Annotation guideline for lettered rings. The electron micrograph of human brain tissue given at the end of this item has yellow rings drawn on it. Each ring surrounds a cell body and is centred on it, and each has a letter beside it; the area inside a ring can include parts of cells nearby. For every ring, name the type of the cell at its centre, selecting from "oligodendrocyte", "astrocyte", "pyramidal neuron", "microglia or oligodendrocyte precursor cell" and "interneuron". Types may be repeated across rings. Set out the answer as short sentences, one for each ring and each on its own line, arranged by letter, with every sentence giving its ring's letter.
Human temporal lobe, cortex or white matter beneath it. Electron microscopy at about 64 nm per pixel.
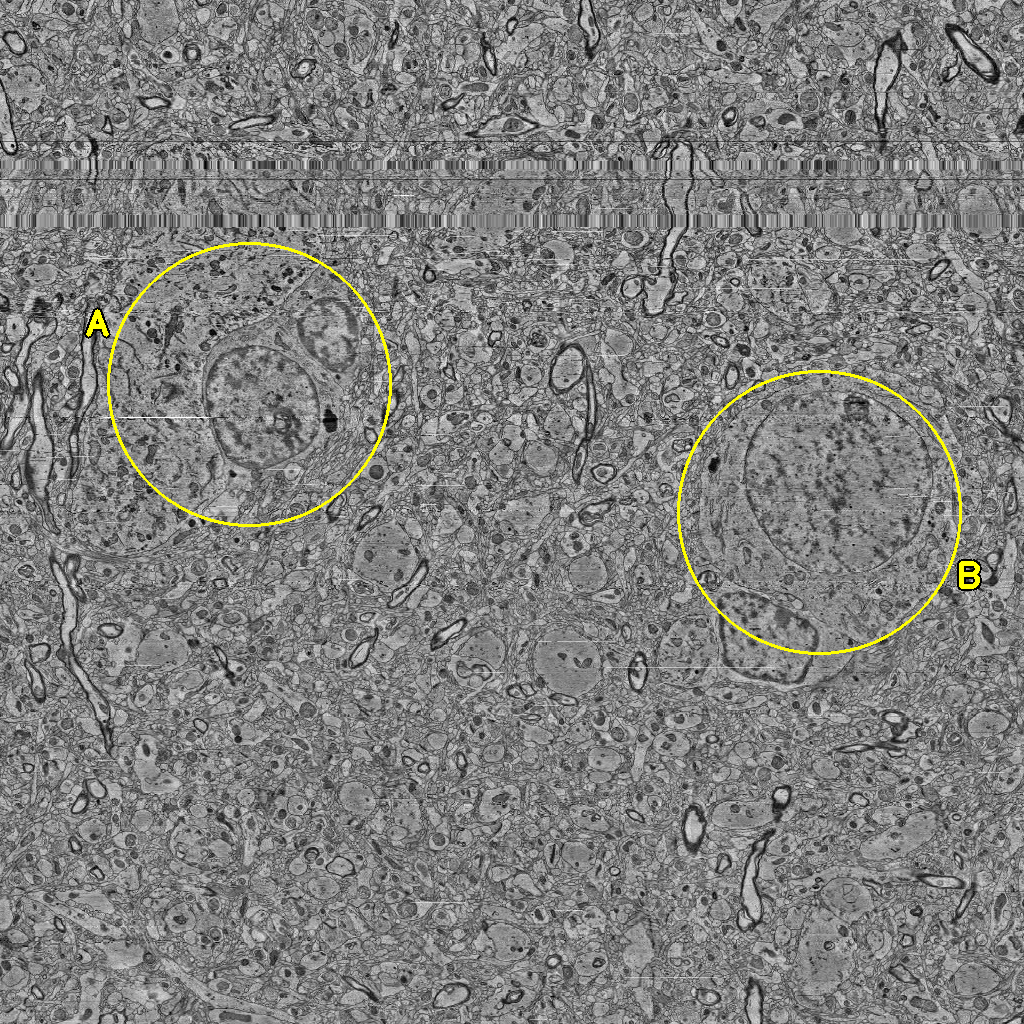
The cell centred in ring A is an oligodendrocyte.
The cell centred in ring B is a microglial cell or oligodendrocyte precursor cell.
